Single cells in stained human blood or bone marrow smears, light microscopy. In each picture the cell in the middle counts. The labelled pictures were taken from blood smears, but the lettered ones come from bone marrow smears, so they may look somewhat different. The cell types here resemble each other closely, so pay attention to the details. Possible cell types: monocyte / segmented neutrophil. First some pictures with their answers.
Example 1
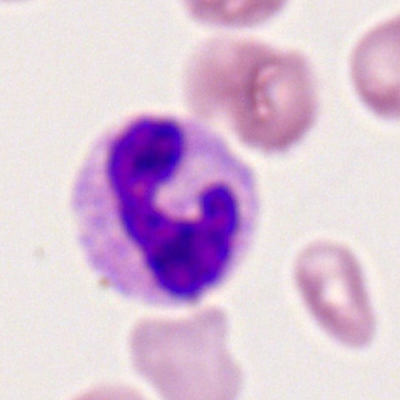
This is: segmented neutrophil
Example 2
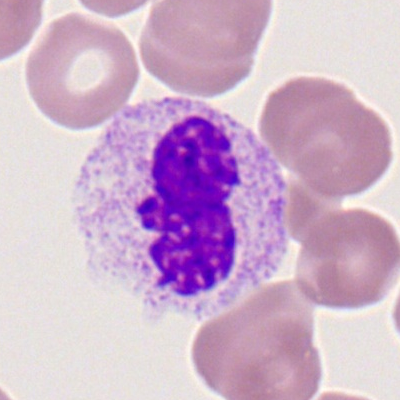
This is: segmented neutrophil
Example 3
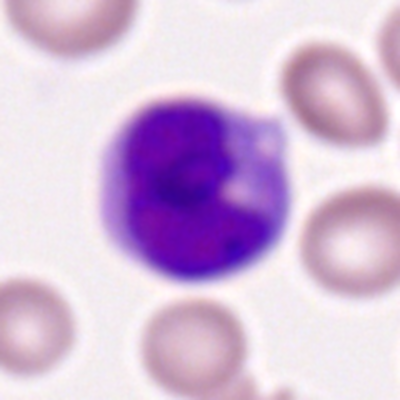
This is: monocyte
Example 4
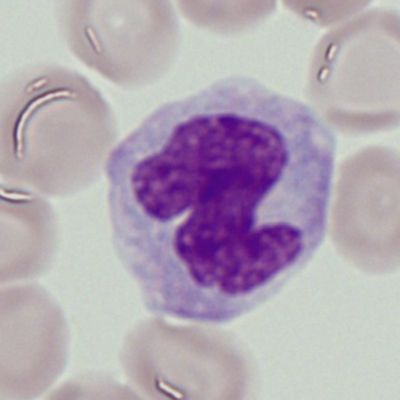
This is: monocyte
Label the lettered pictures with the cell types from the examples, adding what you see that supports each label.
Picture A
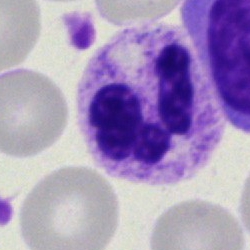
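segmented neutrophil. The cytoplasm is plentiful and pale pinkish-lilac.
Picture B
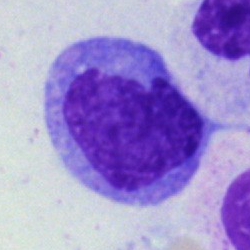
monocyte. The nucleus is large and fills most of the cell.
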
